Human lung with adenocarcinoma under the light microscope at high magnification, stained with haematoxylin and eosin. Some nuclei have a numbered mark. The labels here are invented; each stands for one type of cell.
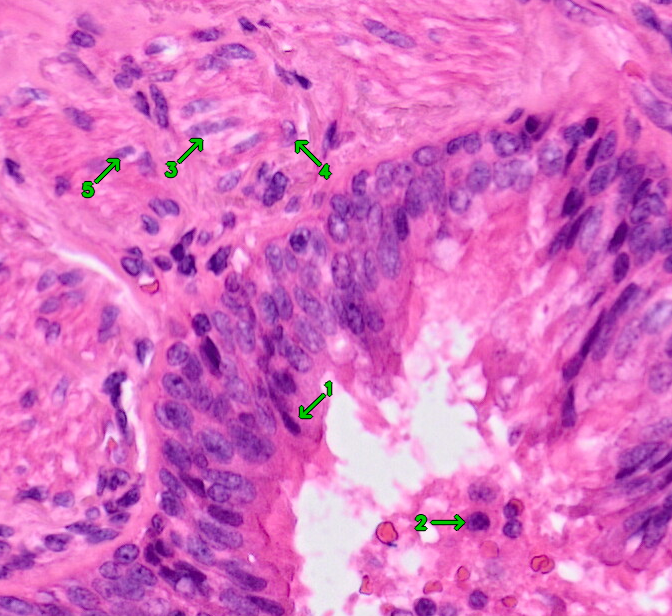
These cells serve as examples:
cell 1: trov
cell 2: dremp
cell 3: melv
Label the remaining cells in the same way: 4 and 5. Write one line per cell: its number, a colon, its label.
4: melv
5: melv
